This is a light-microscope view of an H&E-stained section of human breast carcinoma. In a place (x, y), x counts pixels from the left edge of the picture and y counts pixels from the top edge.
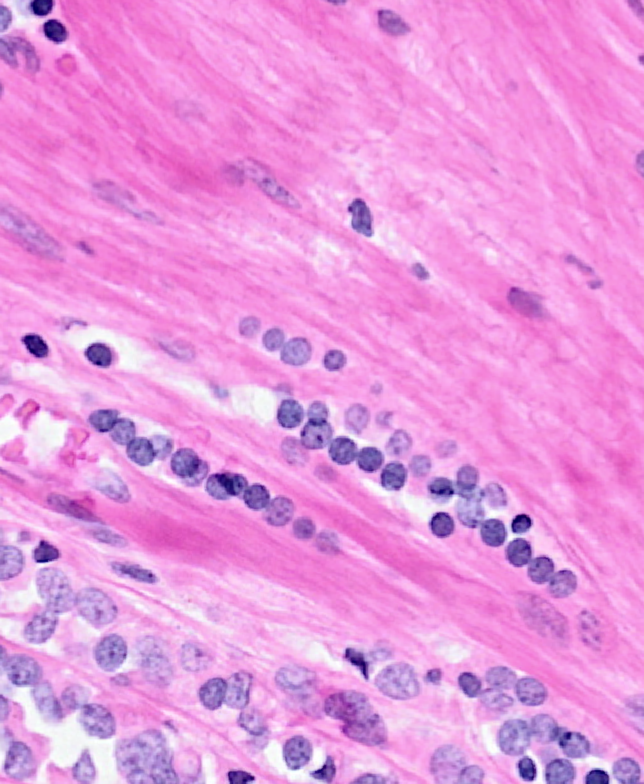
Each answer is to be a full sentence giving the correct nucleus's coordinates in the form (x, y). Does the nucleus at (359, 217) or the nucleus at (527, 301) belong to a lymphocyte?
The nucleus that belongs to a lymphocyte is located at (359, 217).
